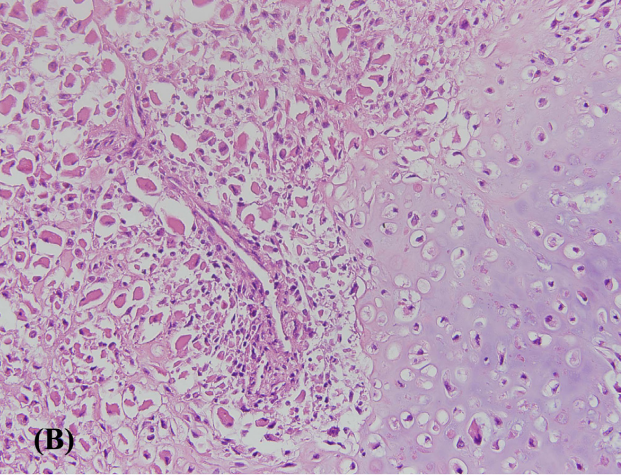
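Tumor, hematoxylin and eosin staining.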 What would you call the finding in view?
Chondroid differentiation.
